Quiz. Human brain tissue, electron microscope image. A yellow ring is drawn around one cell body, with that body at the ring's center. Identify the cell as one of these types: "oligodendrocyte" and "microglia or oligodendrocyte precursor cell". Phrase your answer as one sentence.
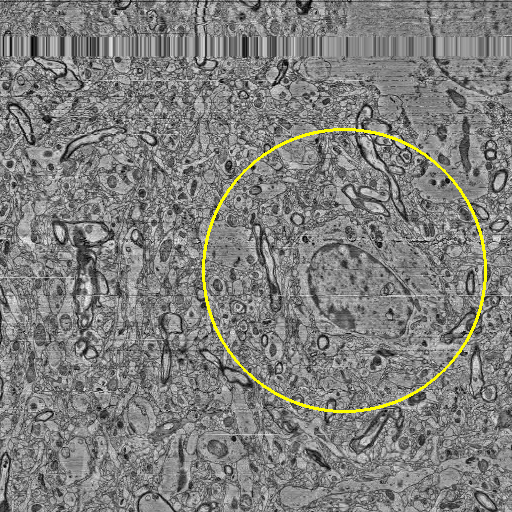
At the center of the ring sits a microglial cell or oligodendrocyte precursor cell.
